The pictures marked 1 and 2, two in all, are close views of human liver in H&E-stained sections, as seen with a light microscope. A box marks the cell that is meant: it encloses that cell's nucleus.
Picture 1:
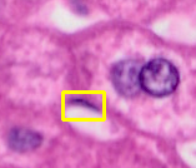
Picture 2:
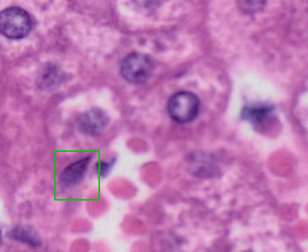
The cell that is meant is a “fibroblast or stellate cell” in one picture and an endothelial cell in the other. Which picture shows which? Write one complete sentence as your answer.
Picture 1 is of an endothelial cell, and picture 2 is of a “fibroblast or stellate cell”.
